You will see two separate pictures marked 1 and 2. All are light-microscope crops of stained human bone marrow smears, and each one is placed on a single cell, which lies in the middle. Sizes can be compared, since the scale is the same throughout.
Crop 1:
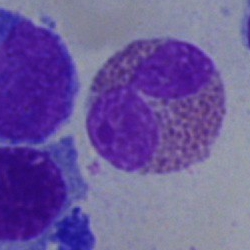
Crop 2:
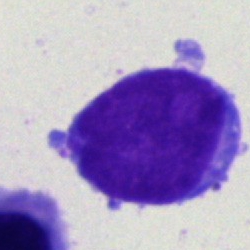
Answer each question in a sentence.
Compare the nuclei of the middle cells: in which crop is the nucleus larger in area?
Larger is the nucleus in crop 2, at roughly 2 times the area of the other.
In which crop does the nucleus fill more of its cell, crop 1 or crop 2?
It is the cell in crop 2 that is filled more by its nucleus.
